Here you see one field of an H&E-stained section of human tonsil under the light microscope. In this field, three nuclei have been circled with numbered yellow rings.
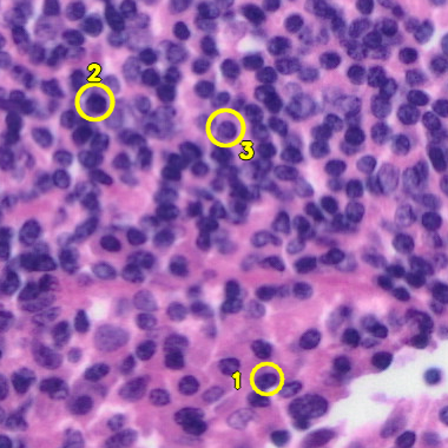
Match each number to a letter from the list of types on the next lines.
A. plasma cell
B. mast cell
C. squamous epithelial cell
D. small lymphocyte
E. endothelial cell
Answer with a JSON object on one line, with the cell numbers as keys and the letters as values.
{"1": "A", "2": "D", "3": "D"}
